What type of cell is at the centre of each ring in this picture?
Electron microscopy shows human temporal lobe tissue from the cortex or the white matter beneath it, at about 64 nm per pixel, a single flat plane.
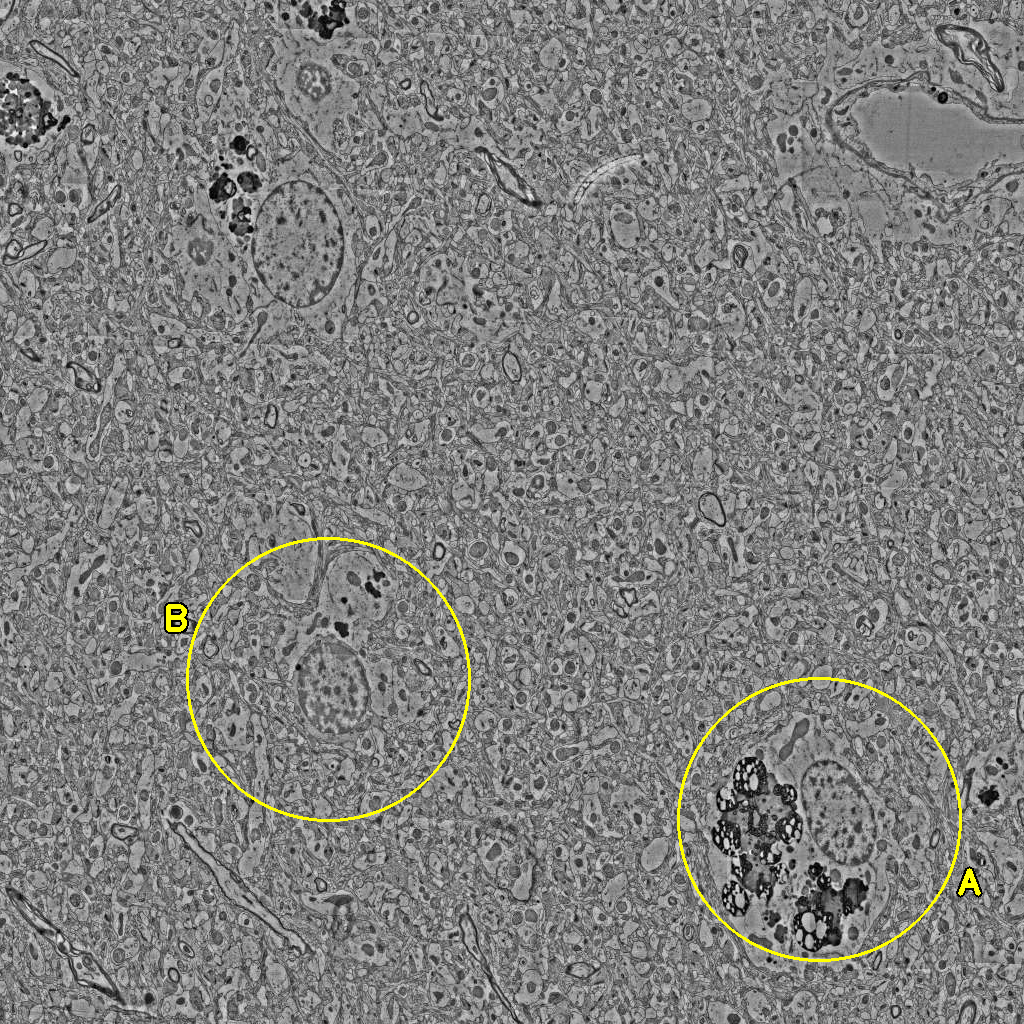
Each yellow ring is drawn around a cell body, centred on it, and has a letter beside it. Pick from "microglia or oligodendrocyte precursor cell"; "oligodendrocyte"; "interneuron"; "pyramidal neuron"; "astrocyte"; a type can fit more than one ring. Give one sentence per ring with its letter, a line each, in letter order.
The ring marked A is centred on an astrocyte.
The ring marked B is centred on an oligodendrocyte.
